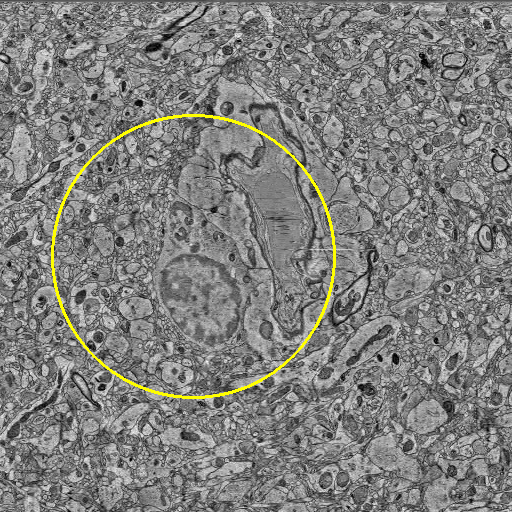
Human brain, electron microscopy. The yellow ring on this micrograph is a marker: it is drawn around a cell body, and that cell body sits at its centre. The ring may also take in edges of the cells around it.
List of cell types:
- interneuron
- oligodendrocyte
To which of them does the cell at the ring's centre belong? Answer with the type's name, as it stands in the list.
oligodendrocyte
